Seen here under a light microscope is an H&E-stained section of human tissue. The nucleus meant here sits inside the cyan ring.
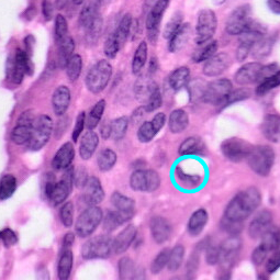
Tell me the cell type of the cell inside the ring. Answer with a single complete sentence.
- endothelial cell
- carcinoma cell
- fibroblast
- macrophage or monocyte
On this particular slide, the cell inside the ring is an endothelial cell.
